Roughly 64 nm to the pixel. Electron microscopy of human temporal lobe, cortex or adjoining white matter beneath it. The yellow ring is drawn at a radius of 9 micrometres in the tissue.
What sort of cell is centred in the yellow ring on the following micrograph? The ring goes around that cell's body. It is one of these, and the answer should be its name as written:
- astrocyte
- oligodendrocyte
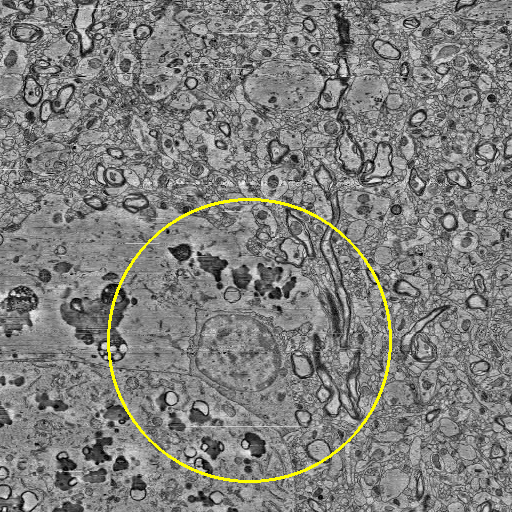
oligodendrocyte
